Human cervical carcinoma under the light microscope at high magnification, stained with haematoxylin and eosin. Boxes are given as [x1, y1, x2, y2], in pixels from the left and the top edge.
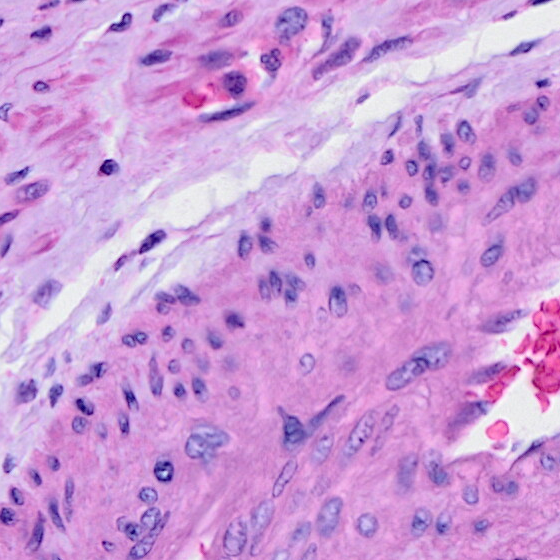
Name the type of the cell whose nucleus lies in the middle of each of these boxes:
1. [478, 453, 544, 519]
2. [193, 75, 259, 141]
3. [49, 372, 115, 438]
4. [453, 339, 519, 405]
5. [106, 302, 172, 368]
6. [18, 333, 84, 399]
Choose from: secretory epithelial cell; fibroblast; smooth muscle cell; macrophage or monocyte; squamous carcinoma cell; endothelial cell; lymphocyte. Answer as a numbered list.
1. smooth muscle cell
2. endothelial cell
3. smooth muscle cell
4. endothelial cell
5. smooth muscle cell
6. fibroblast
